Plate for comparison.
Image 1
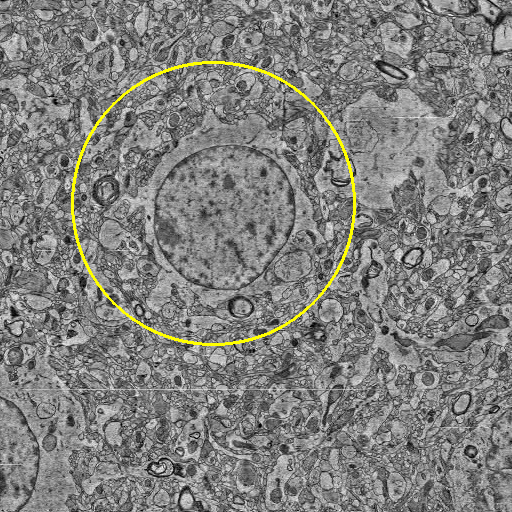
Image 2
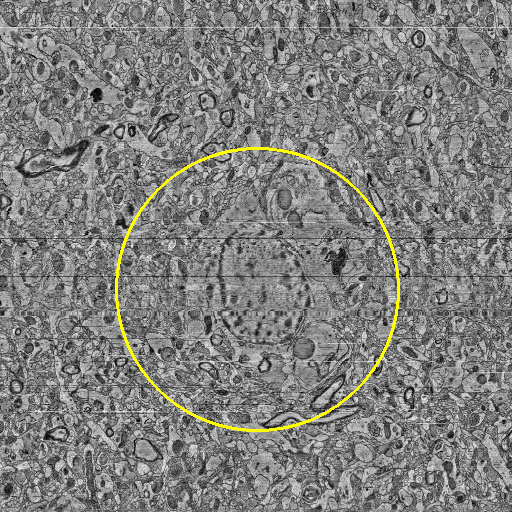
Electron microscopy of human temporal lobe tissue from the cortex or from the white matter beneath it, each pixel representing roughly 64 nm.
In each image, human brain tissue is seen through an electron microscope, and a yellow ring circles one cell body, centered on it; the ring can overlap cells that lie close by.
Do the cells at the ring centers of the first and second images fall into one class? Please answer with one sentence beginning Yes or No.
Yes, the first and second images show a single class of cell at the ring centers.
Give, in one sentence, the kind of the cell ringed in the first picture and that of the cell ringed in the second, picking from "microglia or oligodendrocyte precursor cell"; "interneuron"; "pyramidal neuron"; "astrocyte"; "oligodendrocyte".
Each of the two rings is centred on an astrocyte.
